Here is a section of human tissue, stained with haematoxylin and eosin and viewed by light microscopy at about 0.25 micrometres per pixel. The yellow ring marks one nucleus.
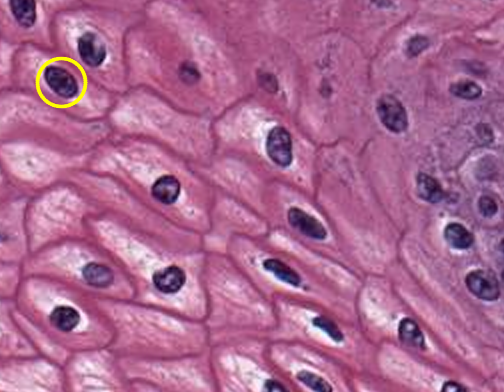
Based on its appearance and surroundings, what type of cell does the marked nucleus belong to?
squamous epithelial cell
